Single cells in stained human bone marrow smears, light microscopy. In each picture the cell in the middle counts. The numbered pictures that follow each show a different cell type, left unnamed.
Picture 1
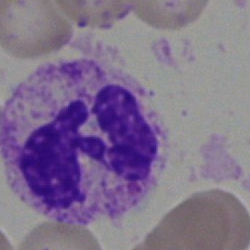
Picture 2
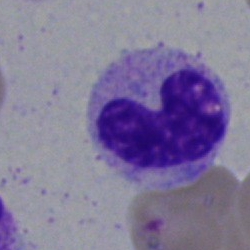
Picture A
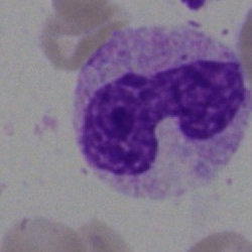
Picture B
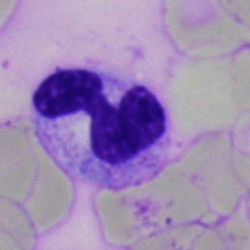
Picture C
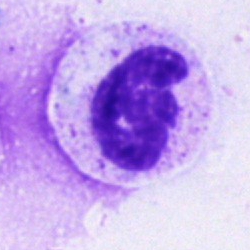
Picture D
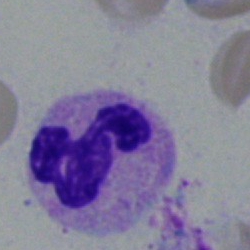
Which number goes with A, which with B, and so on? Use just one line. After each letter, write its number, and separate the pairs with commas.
A 2, B 1, C 1, D 1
